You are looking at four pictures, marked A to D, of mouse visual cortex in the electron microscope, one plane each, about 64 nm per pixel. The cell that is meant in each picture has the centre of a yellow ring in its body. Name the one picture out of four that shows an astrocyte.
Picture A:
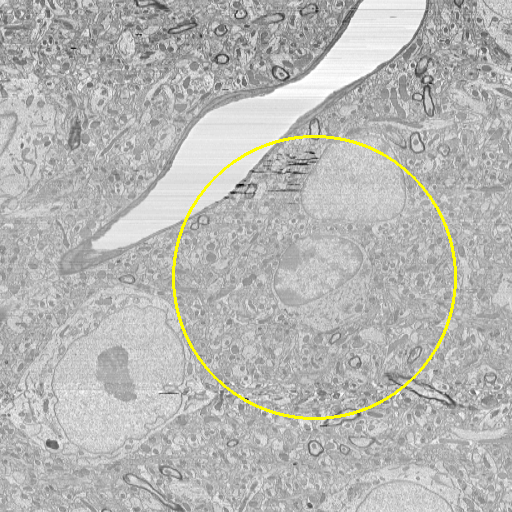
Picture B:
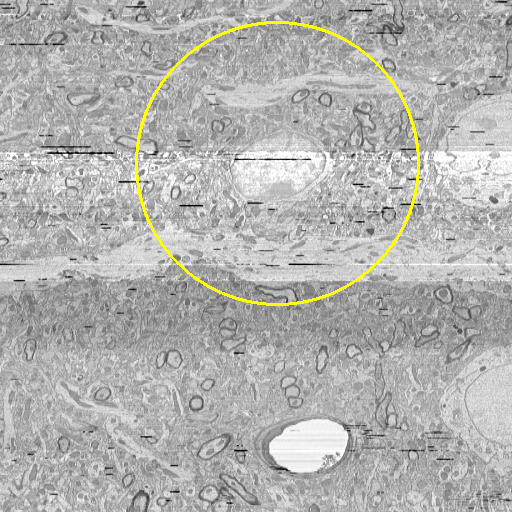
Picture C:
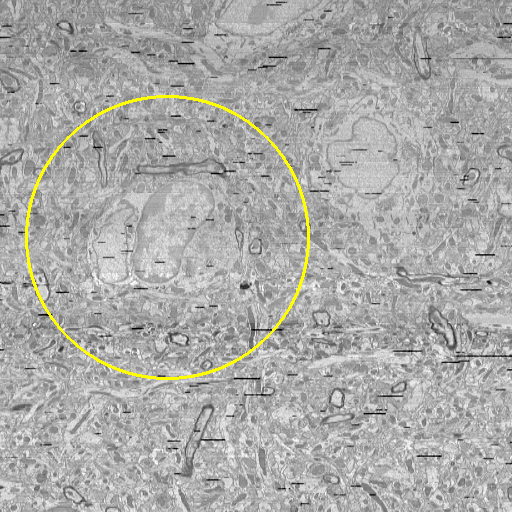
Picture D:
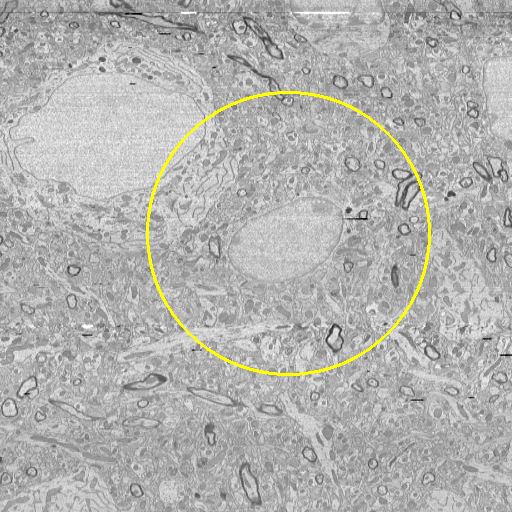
Picture D shows the astrocyte.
